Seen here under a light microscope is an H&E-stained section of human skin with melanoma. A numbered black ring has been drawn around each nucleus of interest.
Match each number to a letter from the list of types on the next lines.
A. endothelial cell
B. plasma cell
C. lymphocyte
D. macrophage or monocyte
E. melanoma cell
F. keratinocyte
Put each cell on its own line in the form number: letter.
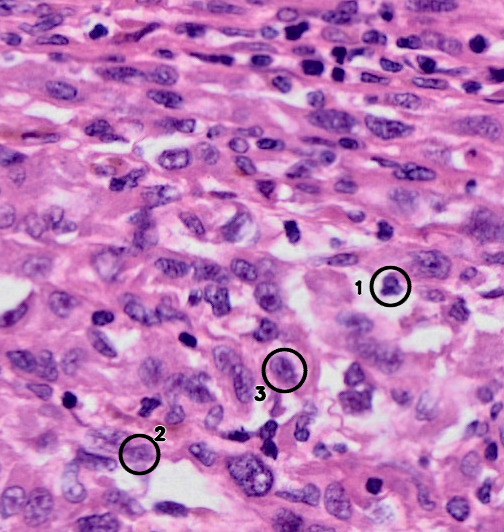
1: C
2: E
3: E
